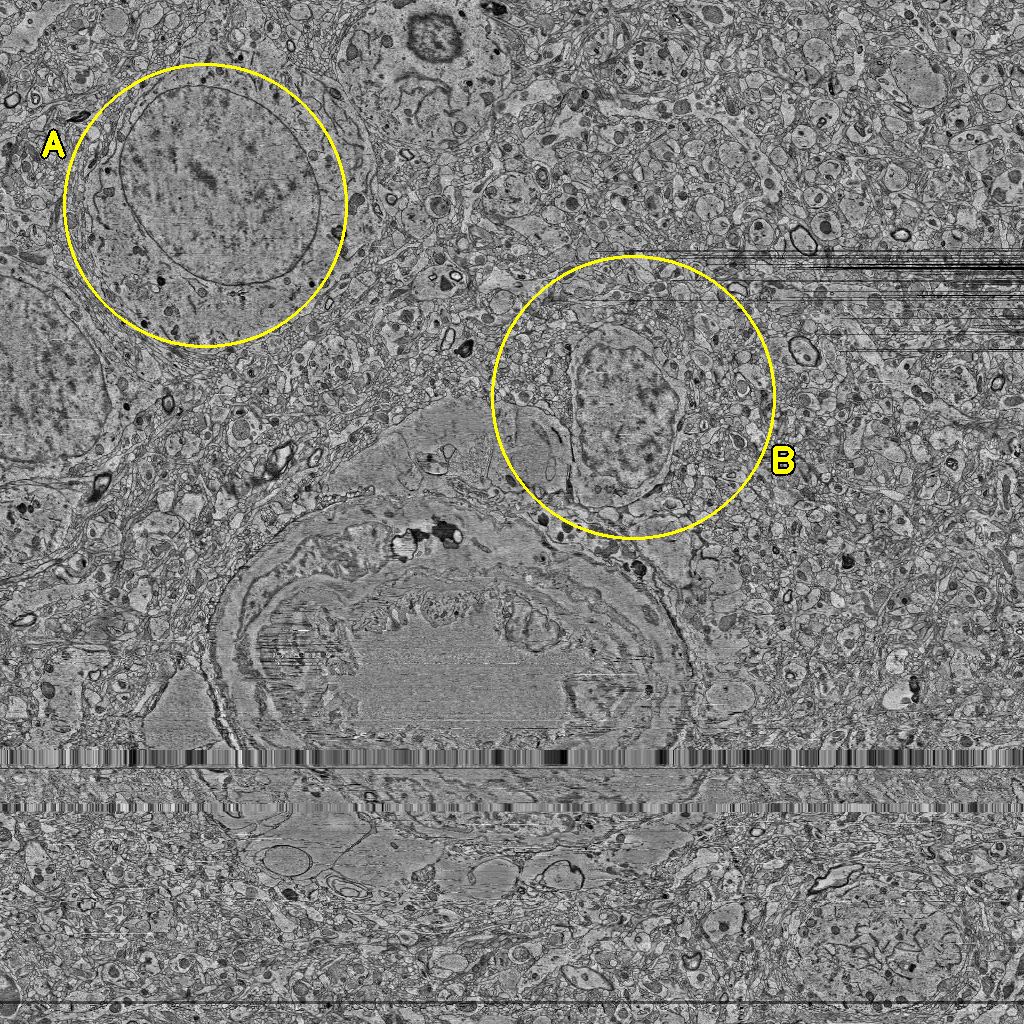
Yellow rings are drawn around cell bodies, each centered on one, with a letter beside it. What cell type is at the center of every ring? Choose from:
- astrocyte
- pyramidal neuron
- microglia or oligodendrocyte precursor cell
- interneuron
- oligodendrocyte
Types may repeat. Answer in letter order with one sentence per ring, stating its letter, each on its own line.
The cell at the center of ring A is a pyramidal neuron.
The cell at the center of ring B is an interneuron.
